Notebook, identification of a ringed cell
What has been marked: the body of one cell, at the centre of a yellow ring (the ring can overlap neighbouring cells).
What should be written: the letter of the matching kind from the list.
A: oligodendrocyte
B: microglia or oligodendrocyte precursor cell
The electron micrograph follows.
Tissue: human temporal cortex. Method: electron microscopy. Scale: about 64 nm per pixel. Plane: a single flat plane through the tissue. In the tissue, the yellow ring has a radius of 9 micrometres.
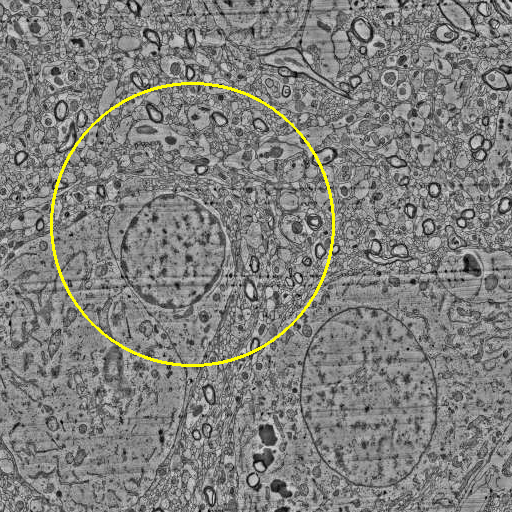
B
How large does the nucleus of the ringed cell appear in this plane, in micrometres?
About 7 micrometres across, as seen in this plane.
